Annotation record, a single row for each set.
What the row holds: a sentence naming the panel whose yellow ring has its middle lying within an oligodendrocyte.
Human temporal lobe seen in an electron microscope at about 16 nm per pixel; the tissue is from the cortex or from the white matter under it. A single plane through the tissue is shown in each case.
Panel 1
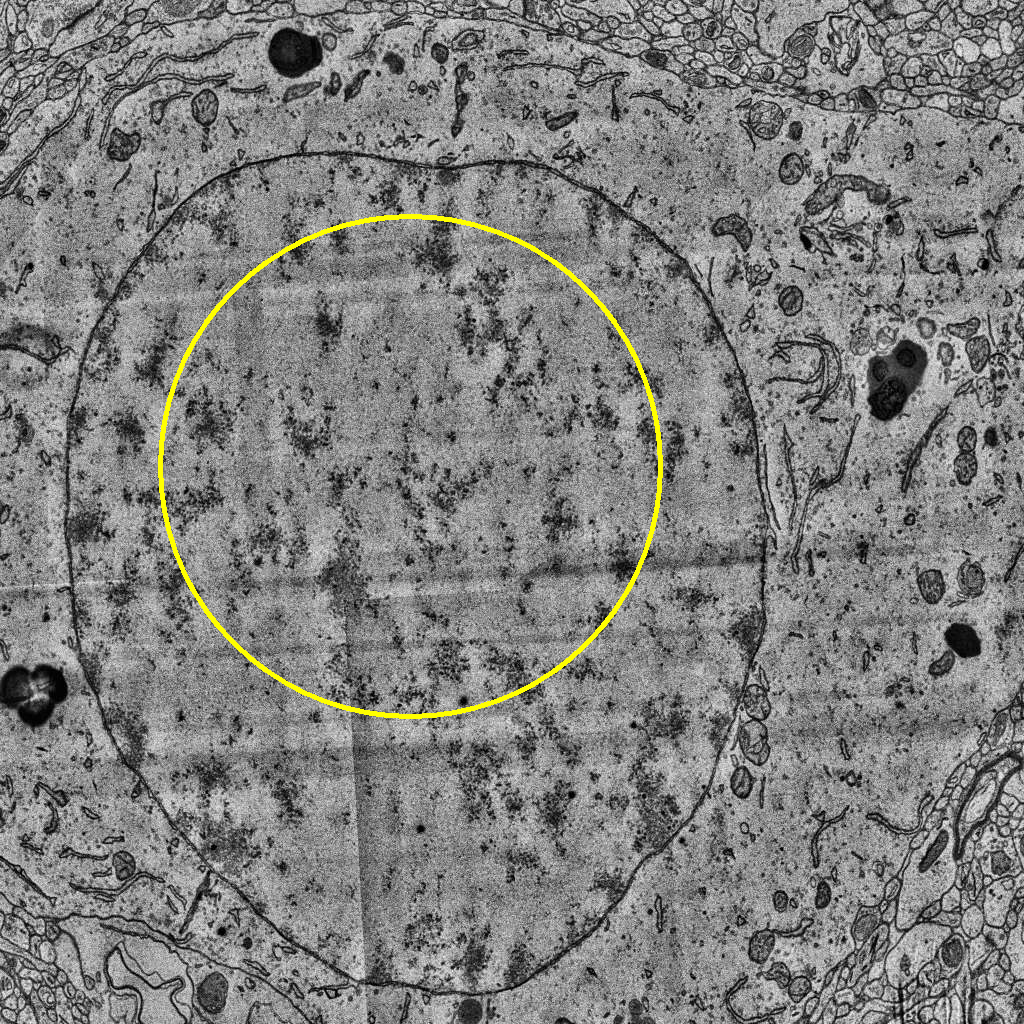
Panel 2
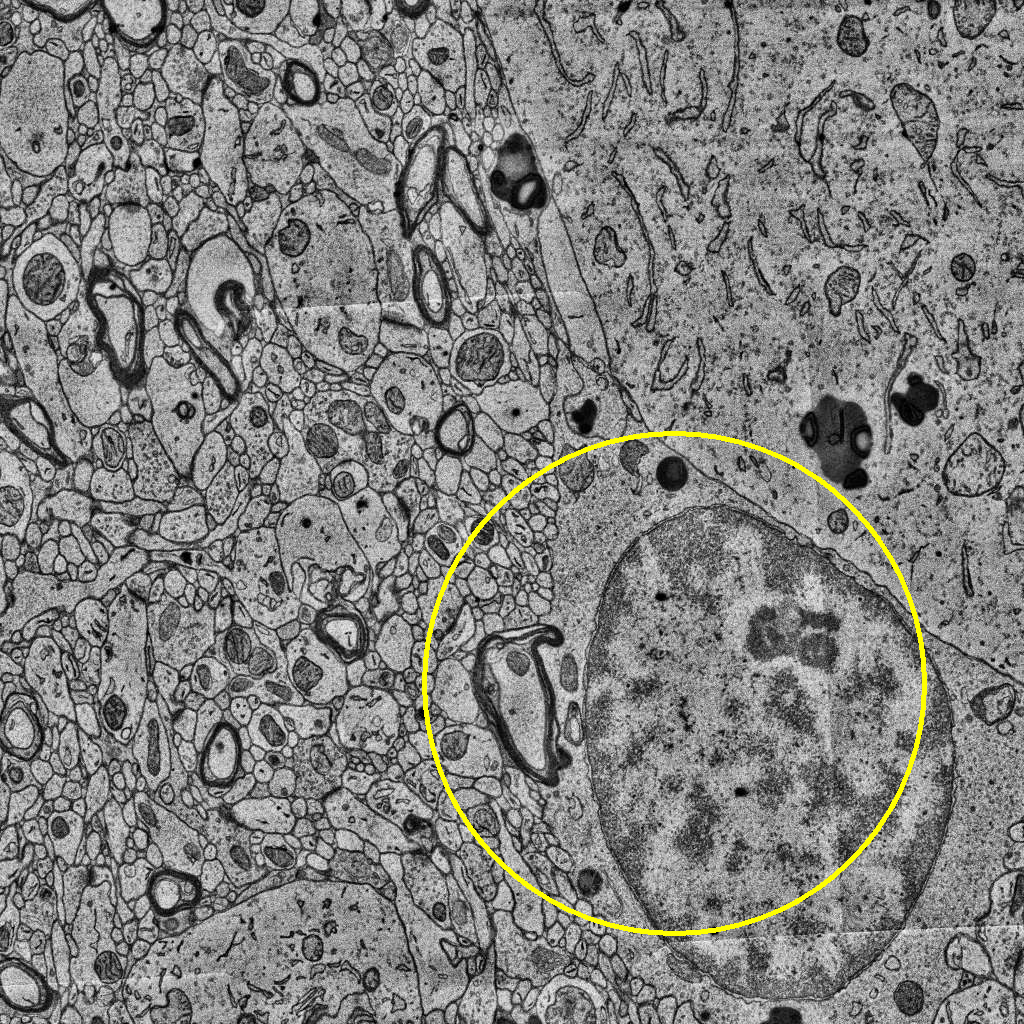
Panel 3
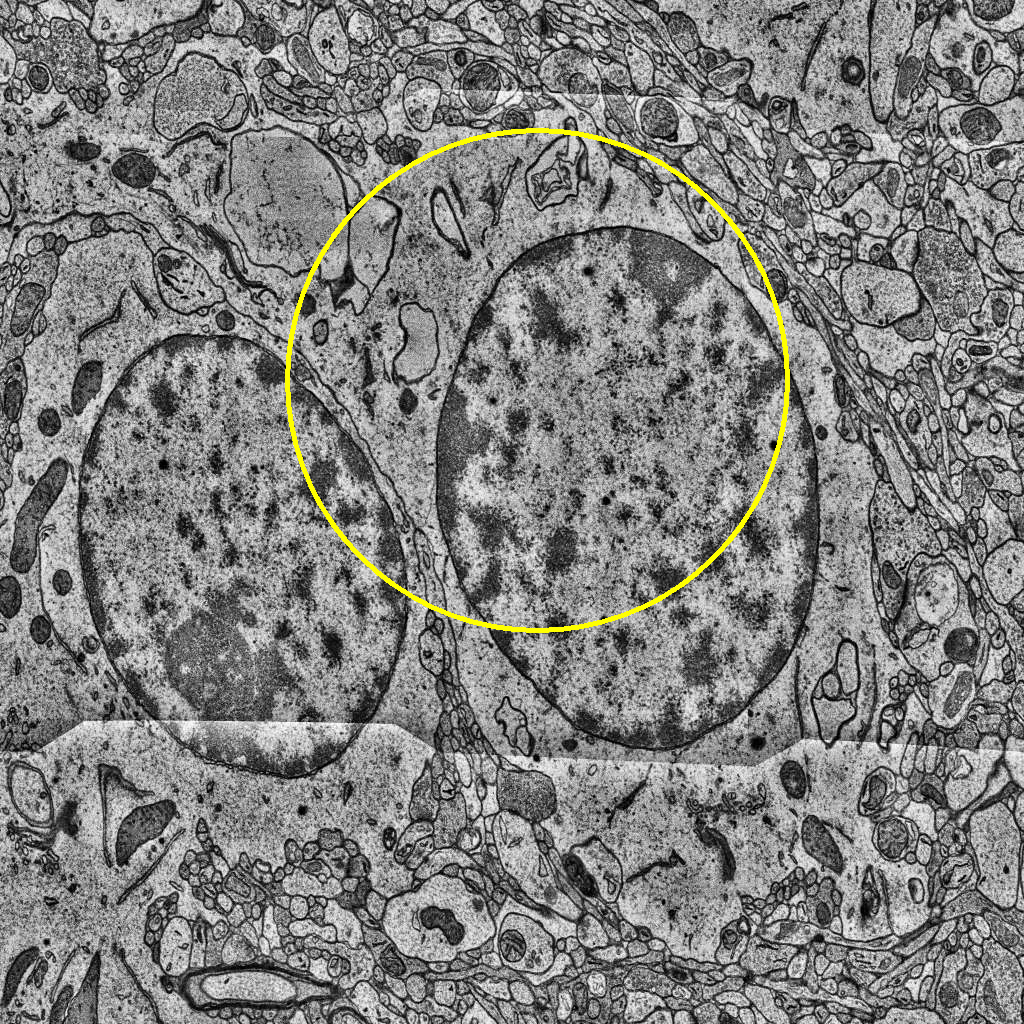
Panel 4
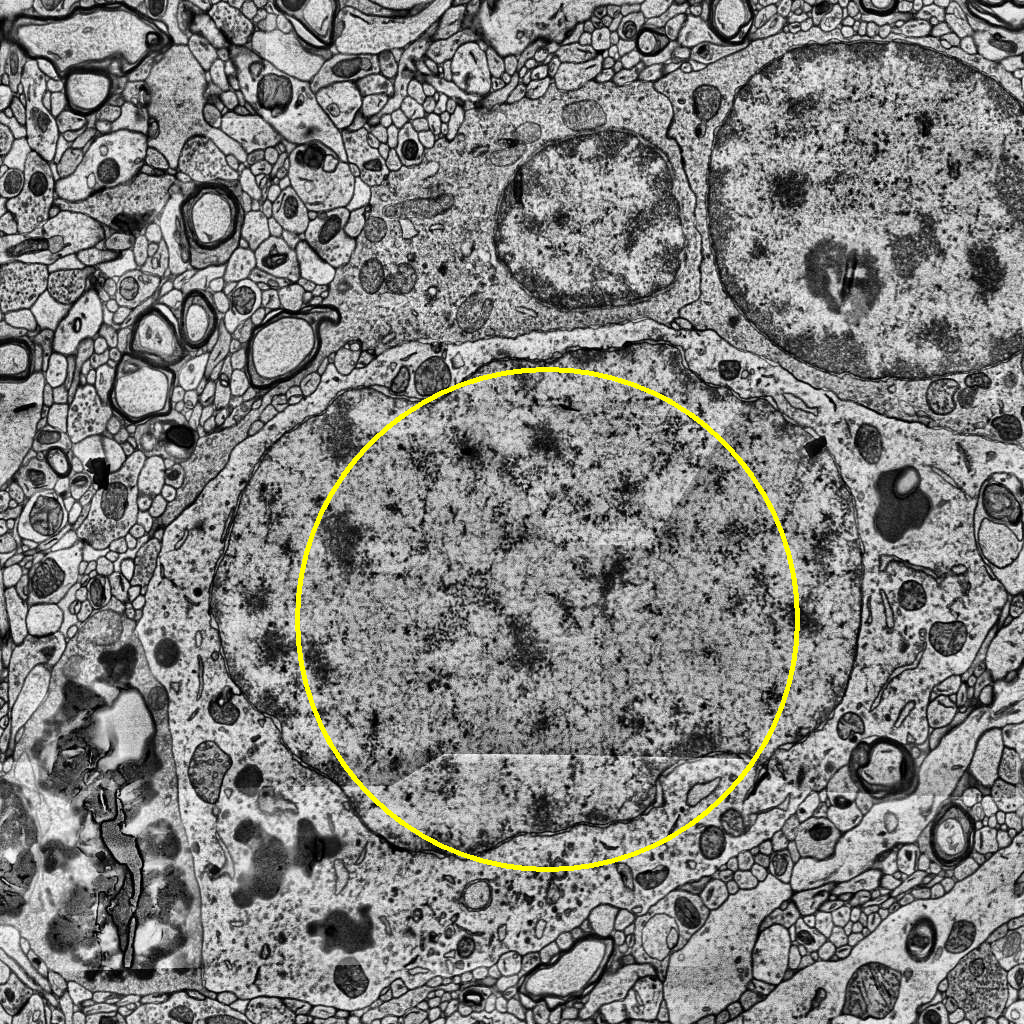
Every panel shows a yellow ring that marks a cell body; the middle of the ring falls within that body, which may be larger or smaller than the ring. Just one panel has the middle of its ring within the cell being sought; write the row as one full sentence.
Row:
In panel 2, the middle of the yellow ring lies within the cell that is sought.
